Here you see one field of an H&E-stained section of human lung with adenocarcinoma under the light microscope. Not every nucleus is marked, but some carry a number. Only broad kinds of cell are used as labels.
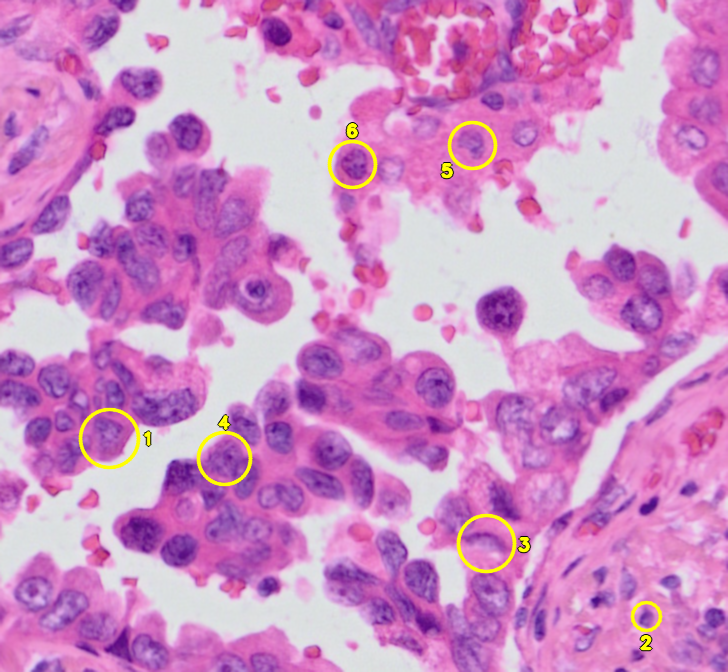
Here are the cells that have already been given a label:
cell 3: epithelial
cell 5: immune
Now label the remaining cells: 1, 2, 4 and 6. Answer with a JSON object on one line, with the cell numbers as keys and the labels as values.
{"1": "epithelial", "2": "immune", "4": "epithelial", "6": "immune"}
